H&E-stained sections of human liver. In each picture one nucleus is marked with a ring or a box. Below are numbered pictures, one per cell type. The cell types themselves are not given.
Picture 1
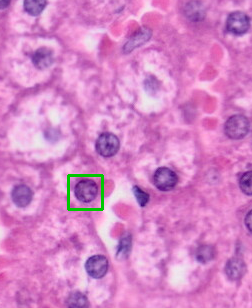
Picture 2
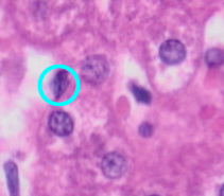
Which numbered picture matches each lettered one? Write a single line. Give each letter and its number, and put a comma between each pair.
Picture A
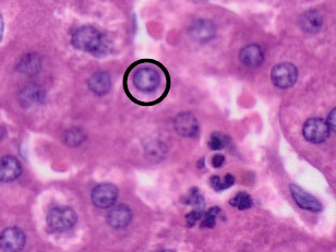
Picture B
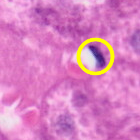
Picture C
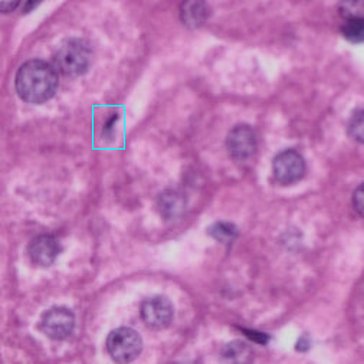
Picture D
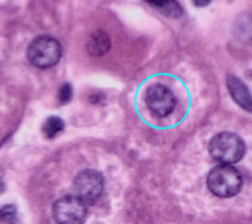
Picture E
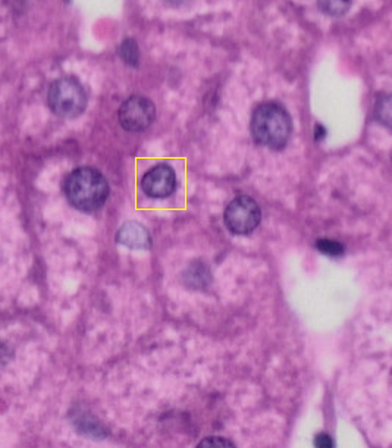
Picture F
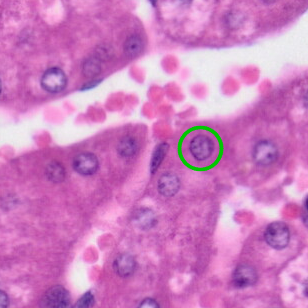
A 1, B 2, C 2, D 1, E 1, F 1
